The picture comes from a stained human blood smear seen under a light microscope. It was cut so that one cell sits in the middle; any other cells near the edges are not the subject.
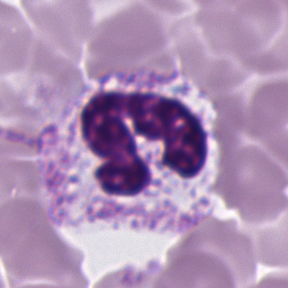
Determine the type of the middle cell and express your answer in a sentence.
The cell found in the middle of this crop is a segmented neutrophil.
